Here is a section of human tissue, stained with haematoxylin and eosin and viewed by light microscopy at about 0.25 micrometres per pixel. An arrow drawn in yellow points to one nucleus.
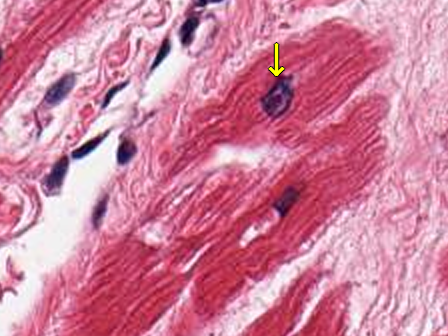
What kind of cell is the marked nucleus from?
cardiomyocyte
